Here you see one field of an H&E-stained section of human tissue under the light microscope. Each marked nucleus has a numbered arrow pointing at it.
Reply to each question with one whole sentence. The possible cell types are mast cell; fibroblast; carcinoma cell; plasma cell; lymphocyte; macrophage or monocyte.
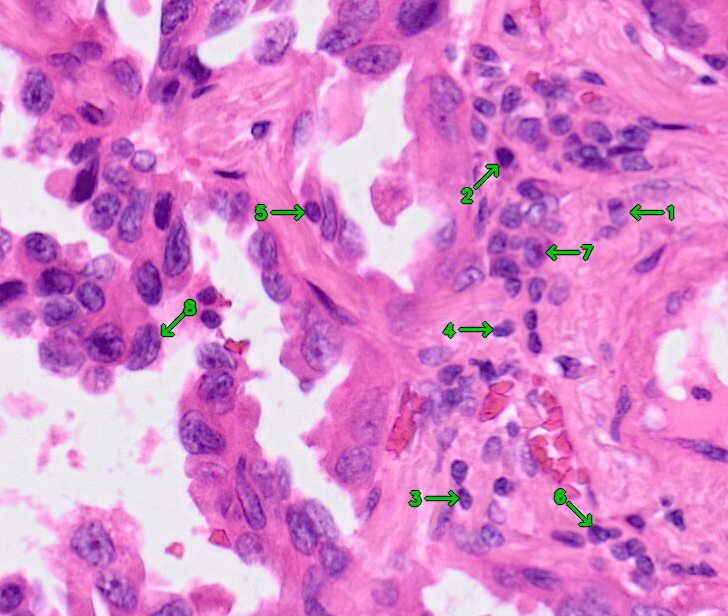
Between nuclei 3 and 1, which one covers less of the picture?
Nucleus 3 covers less area, with nucleus 1 about 1.5 times as large.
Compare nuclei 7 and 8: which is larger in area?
The larger nucleus is 8, at roughly 2.5 times the area of 7.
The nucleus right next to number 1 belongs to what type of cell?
The nucleus nearest to number 1 is that of a plasma cell.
